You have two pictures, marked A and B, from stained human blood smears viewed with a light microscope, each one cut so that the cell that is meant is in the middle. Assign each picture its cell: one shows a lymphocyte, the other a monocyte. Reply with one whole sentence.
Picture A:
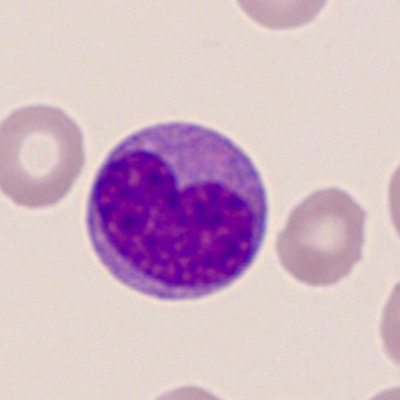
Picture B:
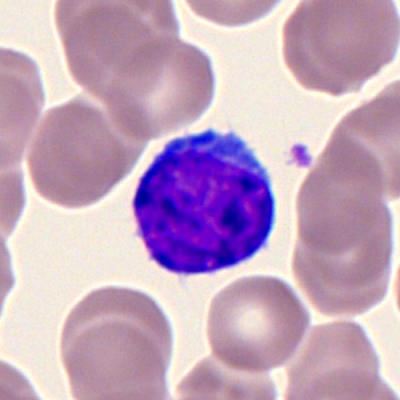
Picture A is of a monocyte, and picture B is of a lymphocyte.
